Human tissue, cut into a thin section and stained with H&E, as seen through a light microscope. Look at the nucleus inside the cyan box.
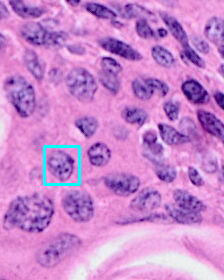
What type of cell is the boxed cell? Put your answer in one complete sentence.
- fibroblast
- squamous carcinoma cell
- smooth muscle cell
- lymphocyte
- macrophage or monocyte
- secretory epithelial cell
In this section, the boxed cell is a squamous carcinoma cell.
